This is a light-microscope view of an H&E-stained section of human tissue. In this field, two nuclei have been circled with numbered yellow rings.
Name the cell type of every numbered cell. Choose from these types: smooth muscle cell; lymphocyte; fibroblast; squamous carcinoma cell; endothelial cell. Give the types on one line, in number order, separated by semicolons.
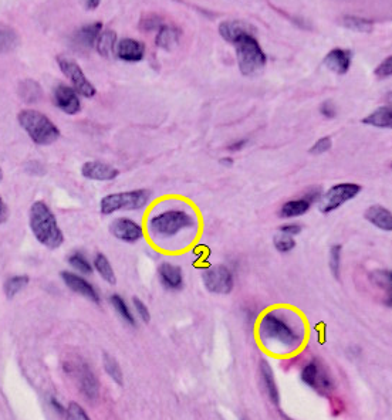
endothelial cell; fibroblast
